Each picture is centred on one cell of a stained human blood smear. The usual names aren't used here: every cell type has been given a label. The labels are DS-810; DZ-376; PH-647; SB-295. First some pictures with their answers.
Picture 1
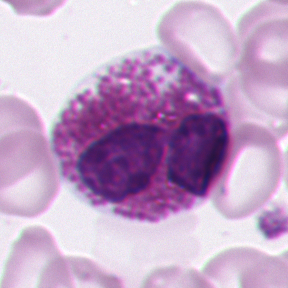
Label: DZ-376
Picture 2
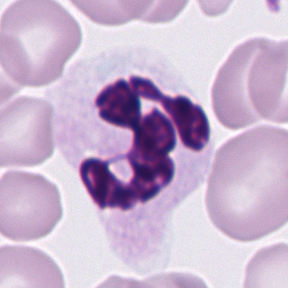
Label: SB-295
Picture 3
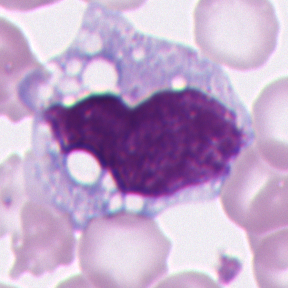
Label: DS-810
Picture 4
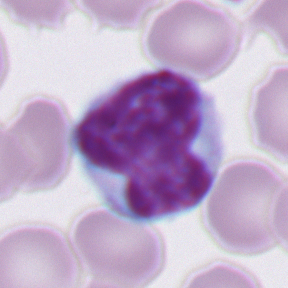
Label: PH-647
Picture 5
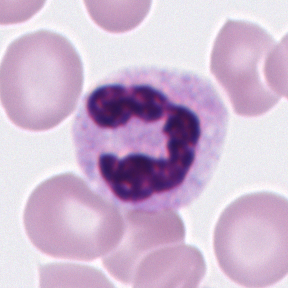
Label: SB-295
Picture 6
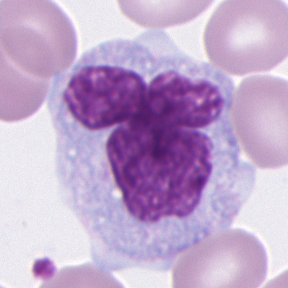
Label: DS-810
